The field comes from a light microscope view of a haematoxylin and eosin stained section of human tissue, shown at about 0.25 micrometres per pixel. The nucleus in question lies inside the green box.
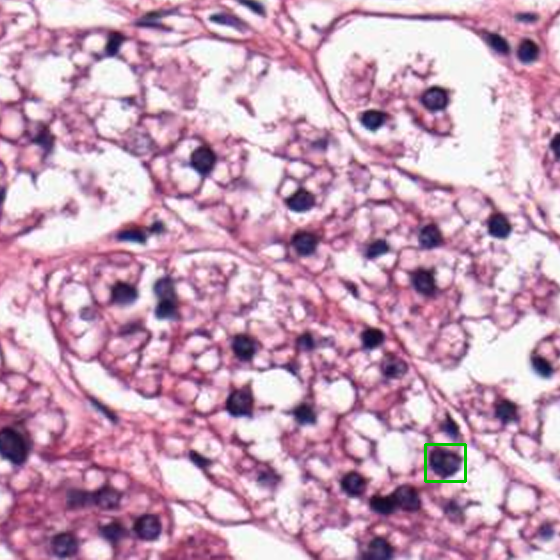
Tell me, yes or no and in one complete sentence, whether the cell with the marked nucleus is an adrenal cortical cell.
Yes, the marked nucleus is assigned to an adrenal cortical cell.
